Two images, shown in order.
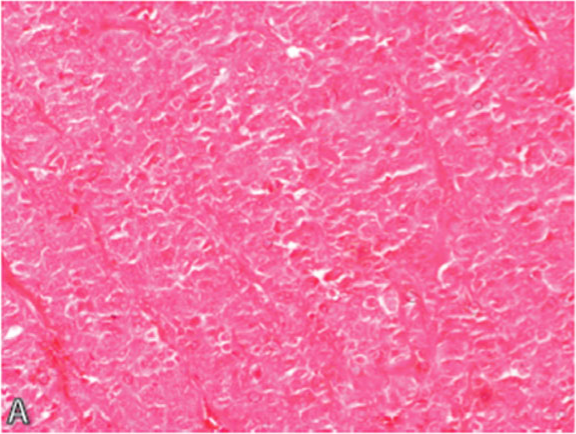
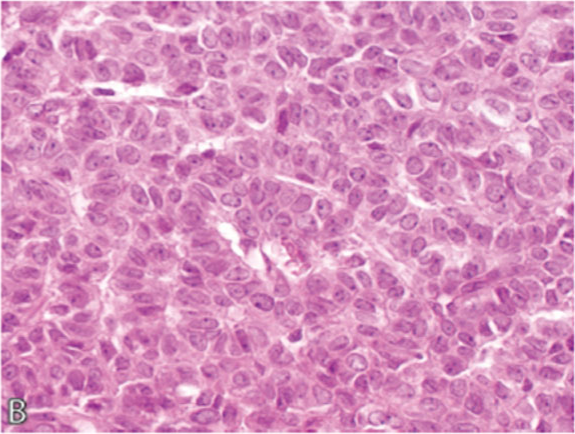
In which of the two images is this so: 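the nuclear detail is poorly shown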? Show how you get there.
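The first image. First image: washed-out pink tissue in which nuclei are faint and hard to tell apart. Second image: crisp purple nuclei with clear outlines, chromatin and grooves.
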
